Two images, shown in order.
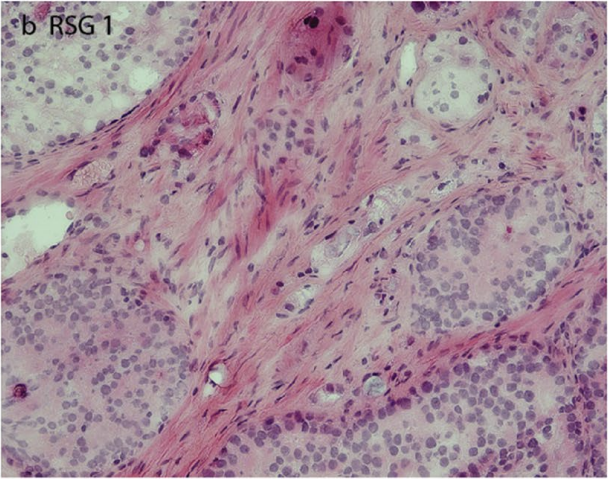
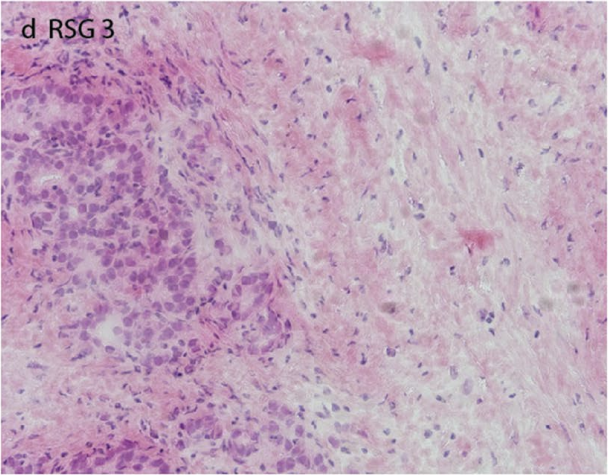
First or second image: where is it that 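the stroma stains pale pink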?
The second image.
